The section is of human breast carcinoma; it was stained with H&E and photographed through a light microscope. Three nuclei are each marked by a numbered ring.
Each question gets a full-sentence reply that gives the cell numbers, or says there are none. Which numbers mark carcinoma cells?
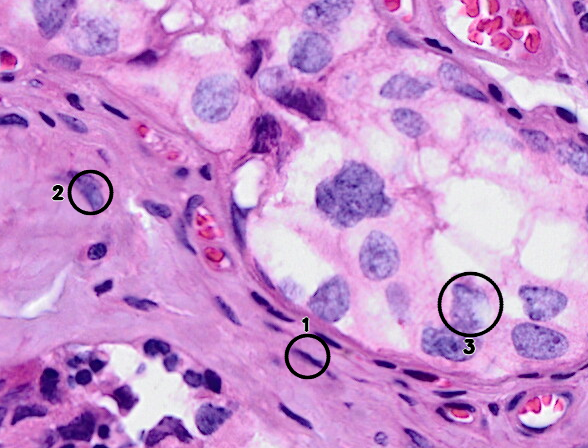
Only the nucleus marked 3 is that of a carcinoma cell.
